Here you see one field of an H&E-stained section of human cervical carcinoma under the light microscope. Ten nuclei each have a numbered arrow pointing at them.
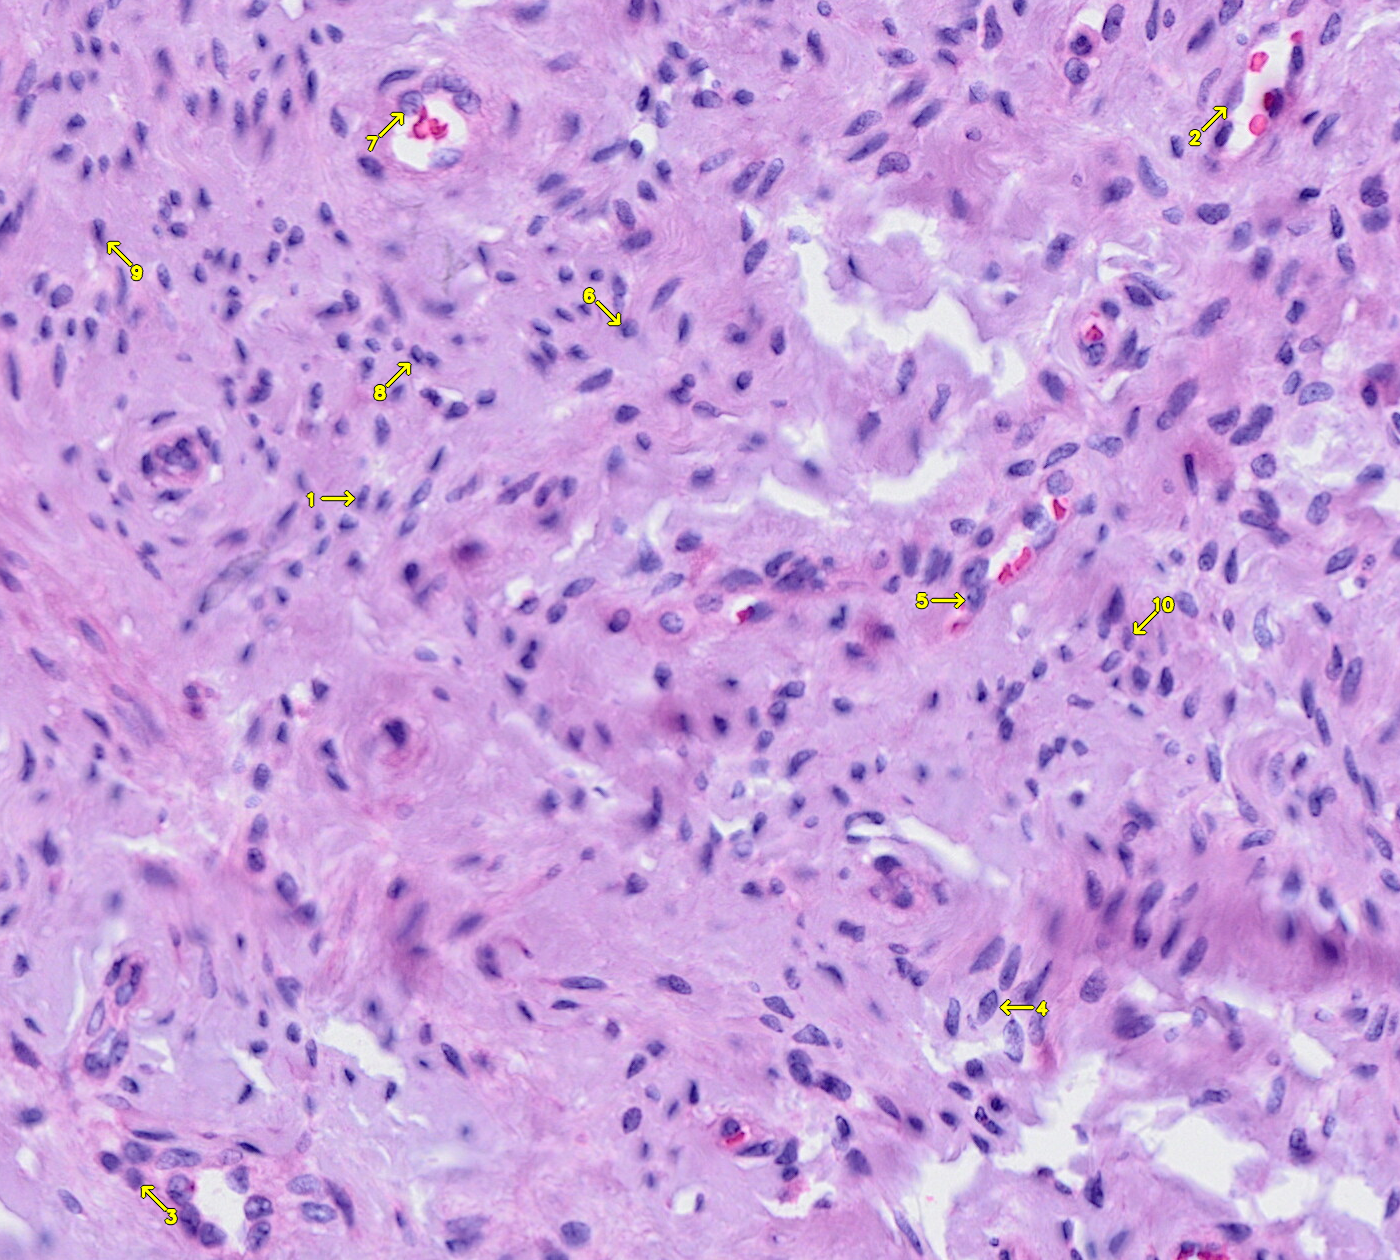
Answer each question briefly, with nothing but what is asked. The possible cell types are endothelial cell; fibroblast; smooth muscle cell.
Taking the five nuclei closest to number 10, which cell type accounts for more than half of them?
fibroblast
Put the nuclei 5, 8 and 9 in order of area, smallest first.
8, 9, 5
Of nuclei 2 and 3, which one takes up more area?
2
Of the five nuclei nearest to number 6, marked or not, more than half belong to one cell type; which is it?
fibroblast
